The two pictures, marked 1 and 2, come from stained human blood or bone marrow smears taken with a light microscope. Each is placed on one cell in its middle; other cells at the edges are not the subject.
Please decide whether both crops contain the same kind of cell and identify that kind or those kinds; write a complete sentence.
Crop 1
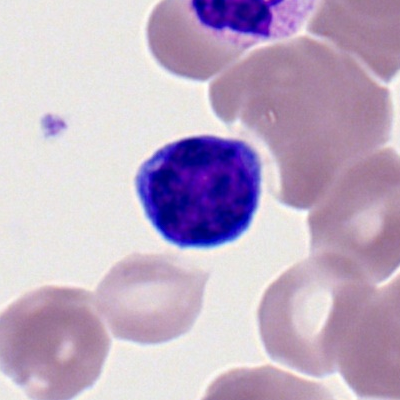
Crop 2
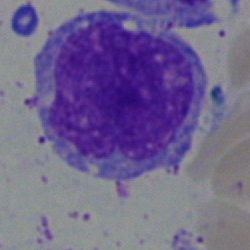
No, crop 1 captures a lymphocyte; meanwhile crop 2 captures a monocyte.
